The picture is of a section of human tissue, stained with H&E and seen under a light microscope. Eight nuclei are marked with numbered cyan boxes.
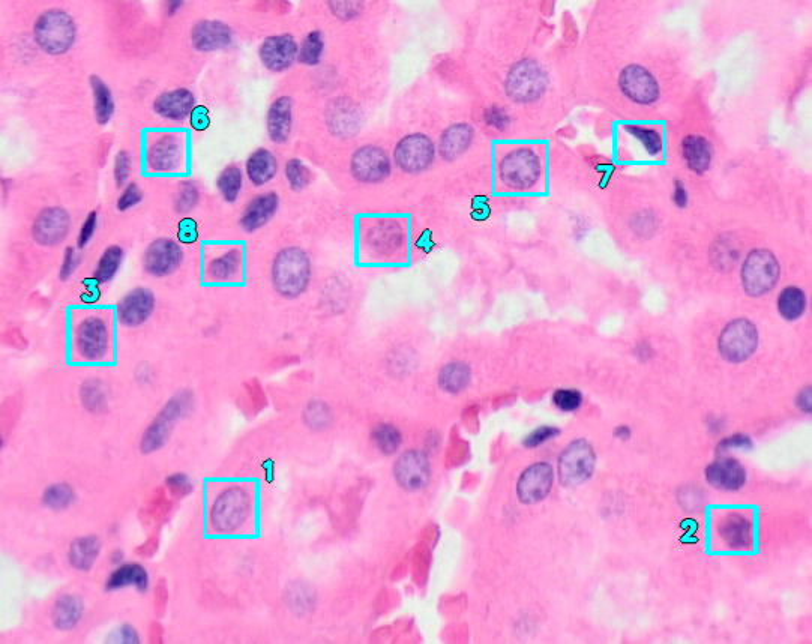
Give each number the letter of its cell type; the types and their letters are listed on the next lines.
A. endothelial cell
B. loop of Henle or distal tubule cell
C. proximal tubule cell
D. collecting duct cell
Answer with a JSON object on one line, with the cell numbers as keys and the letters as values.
{"1": "C", "2": "C", "3": "B", "4": "C", "5": "C", "6": "B", "7": "A", "8": "B"}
